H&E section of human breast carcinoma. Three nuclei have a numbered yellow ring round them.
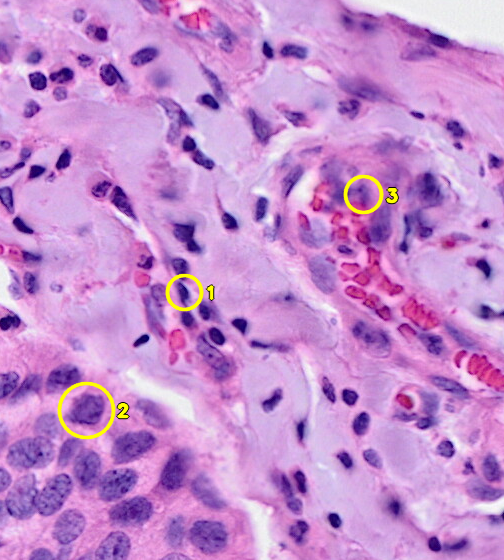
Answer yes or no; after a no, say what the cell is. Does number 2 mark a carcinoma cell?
Yes.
